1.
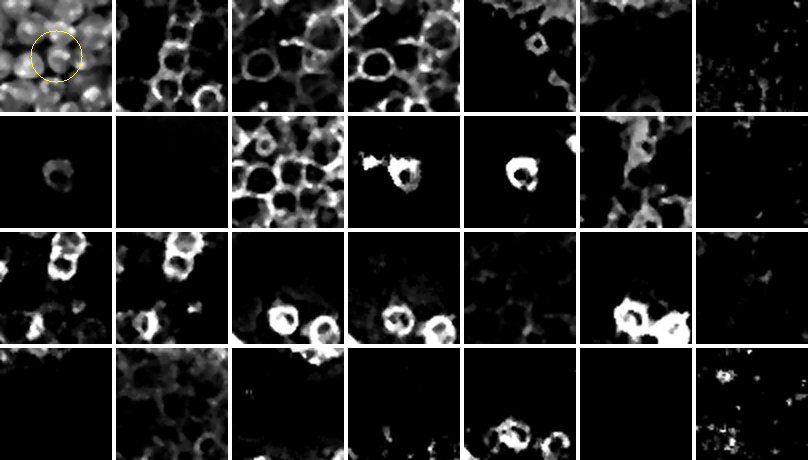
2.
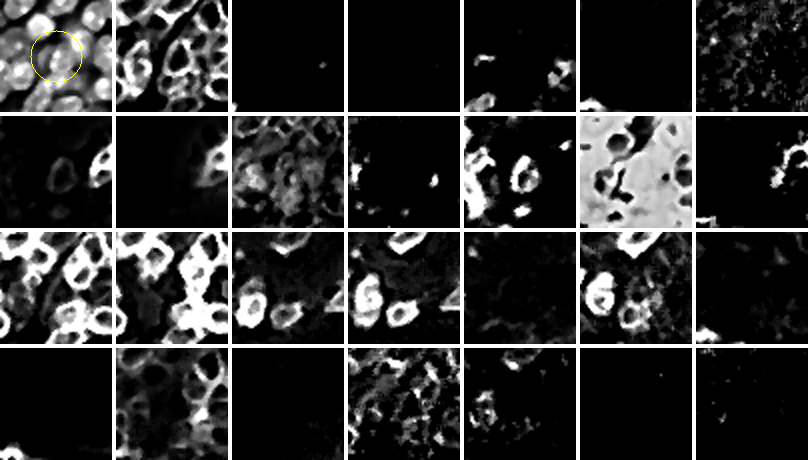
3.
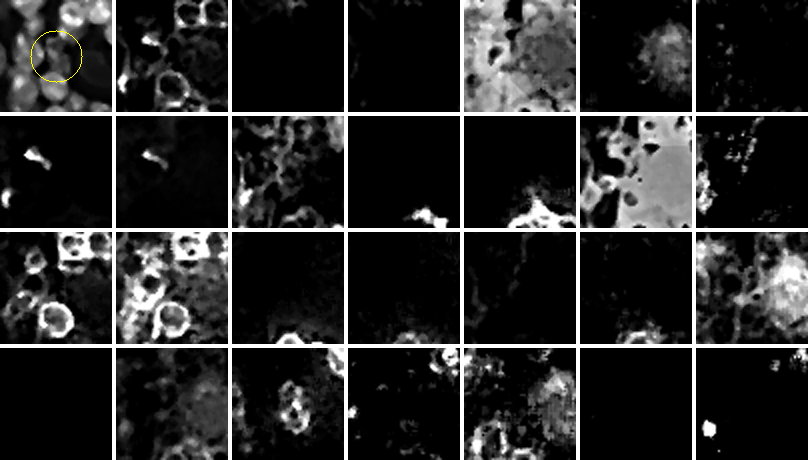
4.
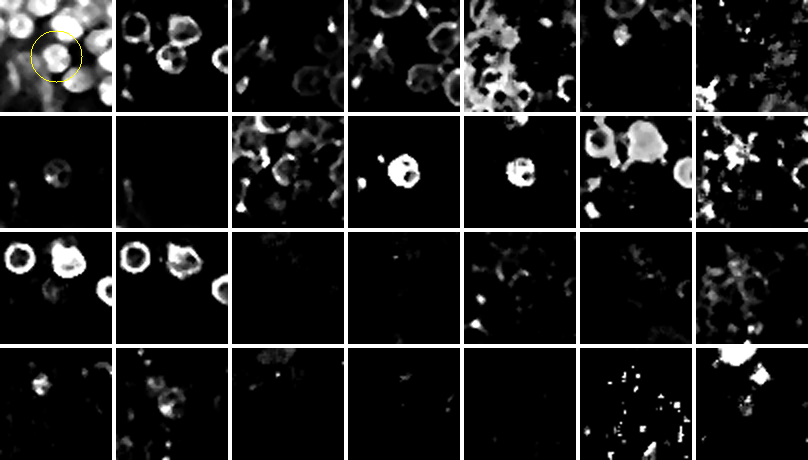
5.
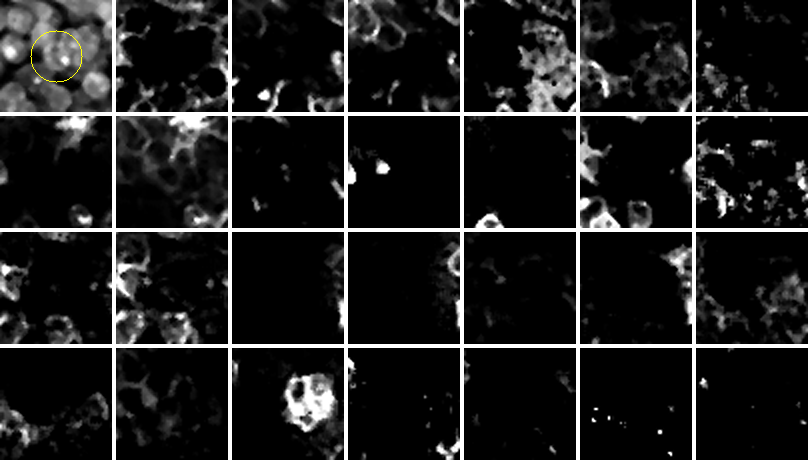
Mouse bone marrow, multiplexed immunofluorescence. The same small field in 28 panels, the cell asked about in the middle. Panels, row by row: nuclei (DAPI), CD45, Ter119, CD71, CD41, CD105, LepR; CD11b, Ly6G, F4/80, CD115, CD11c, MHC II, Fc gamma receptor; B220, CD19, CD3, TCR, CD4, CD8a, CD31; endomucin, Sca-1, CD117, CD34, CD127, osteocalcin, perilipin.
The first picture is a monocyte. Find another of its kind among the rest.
Picture 4.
